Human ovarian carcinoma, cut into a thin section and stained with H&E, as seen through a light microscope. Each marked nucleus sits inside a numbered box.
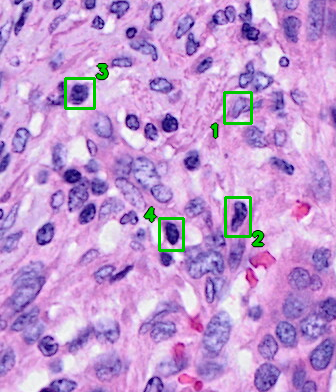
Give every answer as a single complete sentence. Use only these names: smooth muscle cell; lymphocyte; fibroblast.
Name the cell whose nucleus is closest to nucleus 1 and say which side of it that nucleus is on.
Lying to the right of nucleus 1, the nearest nucleus is that of a fibroblast.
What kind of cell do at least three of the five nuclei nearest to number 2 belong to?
Of the five nuclei nearest to number 2, most belong to fibroblasts.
